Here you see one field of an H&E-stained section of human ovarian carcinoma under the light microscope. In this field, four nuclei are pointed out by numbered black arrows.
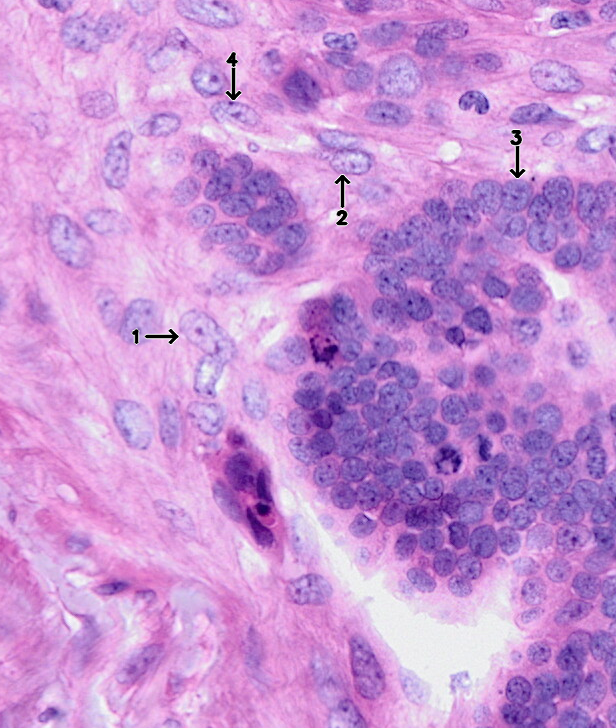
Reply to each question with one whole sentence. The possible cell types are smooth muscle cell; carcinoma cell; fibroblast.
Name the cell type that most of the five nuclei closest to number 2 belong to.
Most of the five nuclei nearest to number 2 are those of fibroblasts.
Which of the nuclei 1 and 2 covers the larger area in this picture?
At about 1.5 times the area of nucleus 2, nucleus 1 is the larger of the two.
